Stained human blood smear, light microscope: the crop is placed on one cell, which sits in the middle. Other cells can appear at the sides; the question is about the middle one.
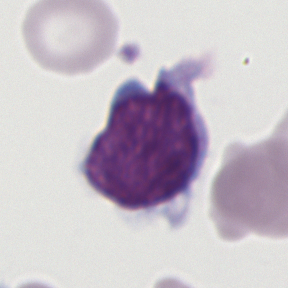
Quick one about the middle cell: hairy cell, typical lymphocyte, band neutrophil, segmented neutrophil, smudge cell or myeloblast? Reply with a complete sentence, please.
The central cell shown in this smear crop is a typical lymphocyte.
